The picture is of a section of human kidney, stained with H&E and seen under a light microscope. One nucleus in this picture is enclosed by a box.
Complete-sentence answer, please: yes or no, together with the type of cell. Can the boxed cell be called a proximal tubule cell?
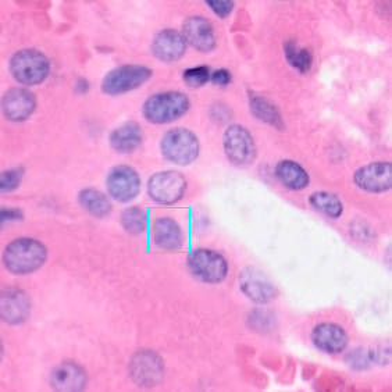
No, score the boxed cell as a collecting duct cell; it is not a proximal tubule cell.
